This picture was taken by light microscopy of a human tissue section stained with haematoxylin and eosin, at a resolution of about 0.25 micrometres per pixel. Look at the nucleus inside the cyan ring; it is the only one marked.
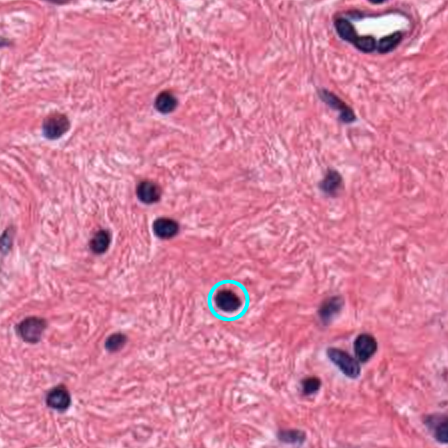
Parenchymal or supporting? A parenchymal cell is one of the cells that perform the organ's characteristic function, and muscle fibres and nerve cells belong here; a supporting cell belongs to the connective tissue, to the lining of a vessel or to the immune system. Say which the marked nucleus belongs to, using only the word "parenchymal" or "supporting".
supporting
